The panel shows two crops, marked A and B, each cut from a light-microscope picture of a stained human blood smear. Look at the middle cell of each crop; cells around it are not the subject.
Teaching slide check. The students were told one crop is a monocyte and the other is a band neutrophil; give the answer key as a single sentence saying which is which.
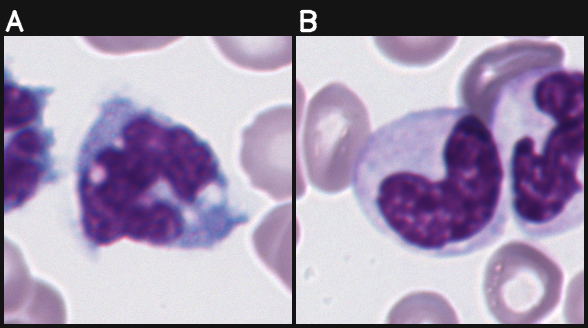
So, crop A is a monocyte, and crop B is a band neutrophil.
